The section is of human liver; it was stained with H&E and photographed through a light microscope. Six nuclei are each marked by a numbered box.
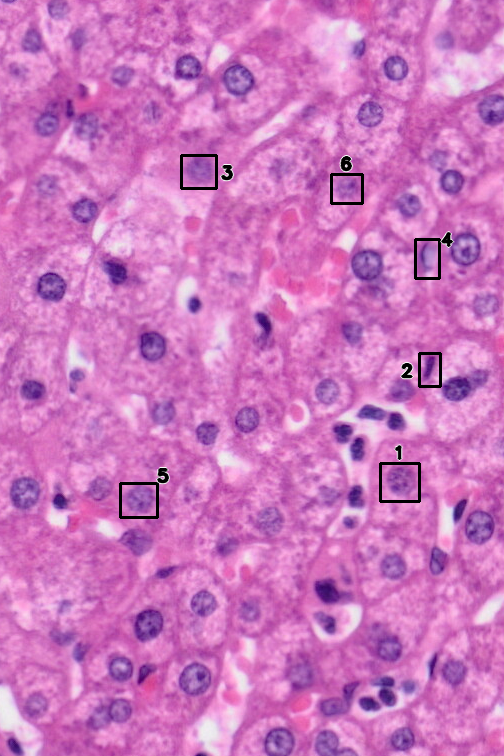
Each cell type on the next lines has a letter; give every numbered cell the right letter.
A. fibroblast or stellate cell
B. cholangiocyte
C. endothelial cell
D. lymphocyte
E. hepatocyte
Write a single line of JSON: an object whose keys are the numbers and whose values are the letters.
{"1": "E", "2": "A", "3": "E", "4": "C", "5": "E", "6": "E"}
